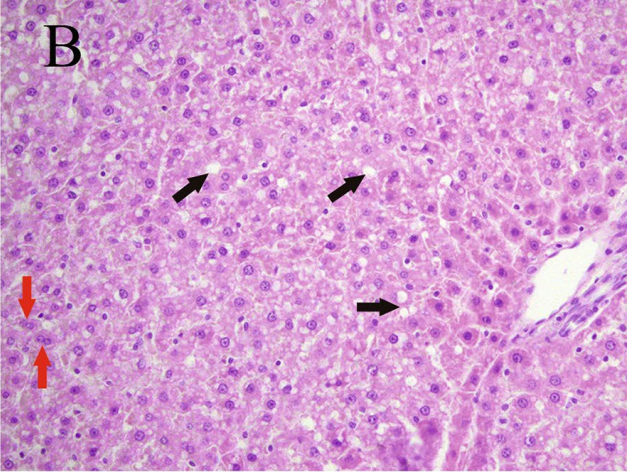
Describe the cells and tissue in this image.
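Liver parenchyma of polygonal pink cells with round purple nuclei is seen, with a vessel lined by flattened cells at the right edge. Many of the cells have pale, foamy cytoplasm dotted with small clear round holes, a picture of vacuolar degeneration of hepatocytes.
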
